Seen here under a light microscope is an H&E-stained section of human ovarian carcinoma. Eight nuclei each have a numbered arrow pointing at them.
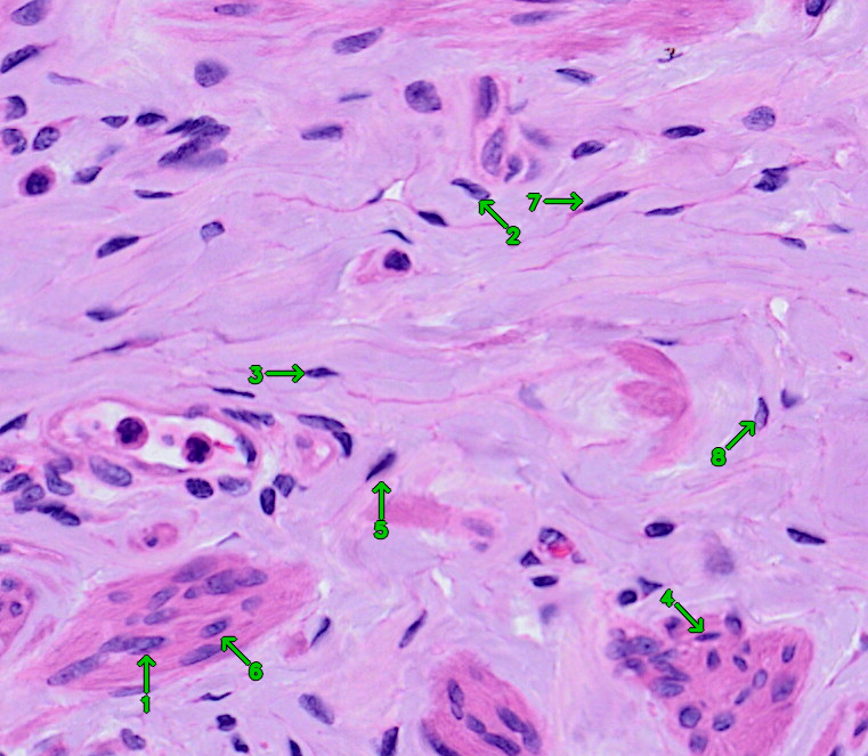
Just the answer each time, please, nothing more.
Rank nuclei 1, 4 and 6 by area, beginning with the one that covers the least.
4, 6, 1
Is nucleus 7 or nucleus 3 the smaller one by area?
3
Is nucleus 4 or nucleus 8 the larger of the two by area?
8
